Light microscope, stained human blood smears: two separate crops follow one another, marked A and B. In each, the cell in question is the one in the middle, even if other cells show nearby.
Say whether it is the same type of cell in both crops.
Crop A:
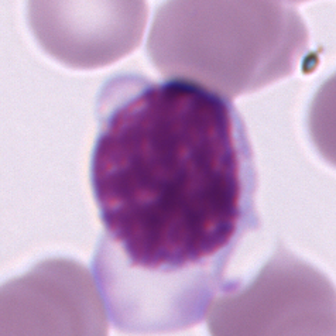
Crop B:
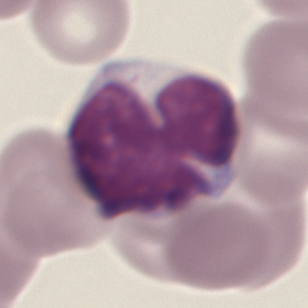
yes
